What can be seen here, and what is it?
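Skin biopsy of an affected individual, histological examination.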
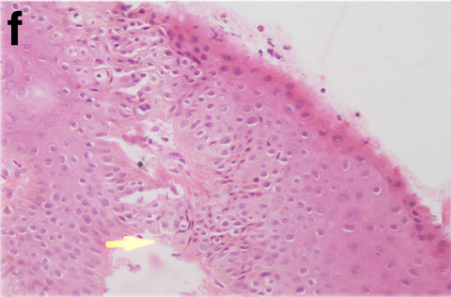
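This is epidermis, a thick stratified sheet of keratinocytes stained pink with purple nuclei. The cells are polygonal with round nuclei, many showing pale halos around the nucleus, and they are stacked in numerous layers. Along the curved edge of the sheet runs a denser, more darkly stained band of cells. Toward the lower left, clear spaces open up between cells.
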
